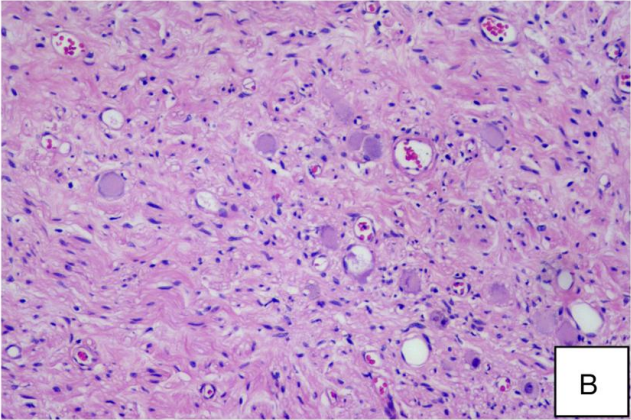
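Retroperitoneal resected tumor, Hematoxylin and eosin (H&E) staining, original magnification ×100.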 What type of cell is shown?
Mature ganglion cells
